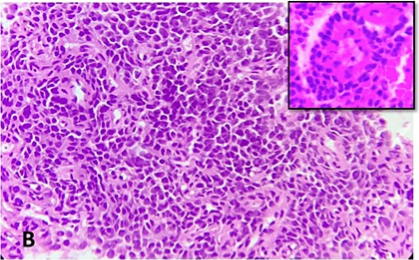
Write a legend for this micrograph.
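A cellular tumour made of a uniform population of small round cells packed in sheets. The nuclei are round to oval, dark and hyperchromatic, and of much the same size from cell to cell, with little variation in shape. Each cell has only a thin rim of pale pink cytoplasm, so nuclei lie close together.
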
